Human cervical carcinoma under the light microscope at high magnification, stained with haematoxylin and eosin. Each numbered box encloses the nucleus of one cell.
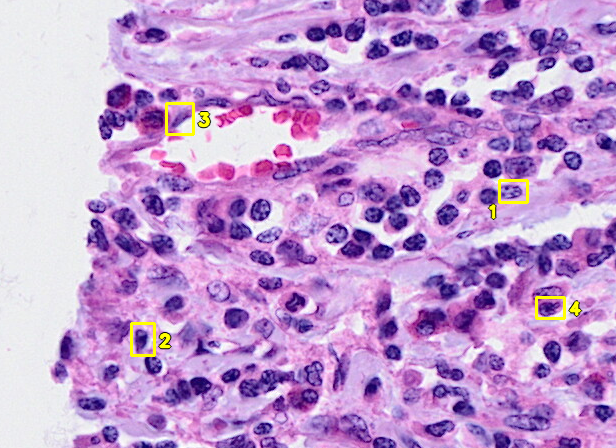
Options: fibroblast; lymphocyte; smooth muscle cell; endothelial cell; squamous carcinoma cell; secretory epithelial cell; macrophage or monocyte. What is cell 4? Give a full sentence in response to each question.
The cell pointed out by number 4 is a lymphocyte.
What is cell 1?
Cell 1, as marked in the section, is a lymphocyte.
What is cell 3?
The cell pointed out by number 3 is an endothelial cell.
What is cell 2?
The correct label for cell 2 is a lymphocyte.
